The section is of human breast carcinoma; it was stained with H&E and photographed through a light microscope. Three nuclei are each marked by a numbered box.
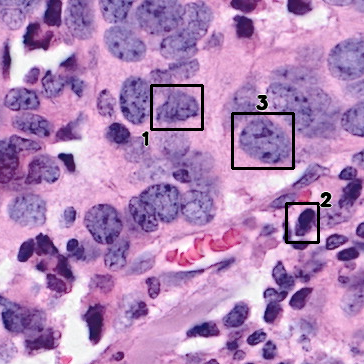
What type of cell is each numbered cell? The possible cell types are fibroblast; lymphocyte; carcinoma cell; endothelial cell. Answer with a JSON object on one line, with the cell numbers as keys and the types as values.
{"1": "carcinoma cell", "2": "lymphocyte", "3": "carcinoma cell"}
